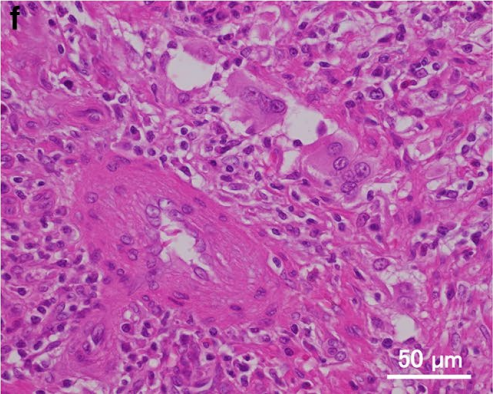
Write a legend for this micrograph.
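Inflamed arterial tissue with a large multinucleated giant cell holding several oval nuclei in abundant pink cytoplasm. Around it lie mixed inflammatory cells with round or oval nuclei in loose pink stroma.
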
